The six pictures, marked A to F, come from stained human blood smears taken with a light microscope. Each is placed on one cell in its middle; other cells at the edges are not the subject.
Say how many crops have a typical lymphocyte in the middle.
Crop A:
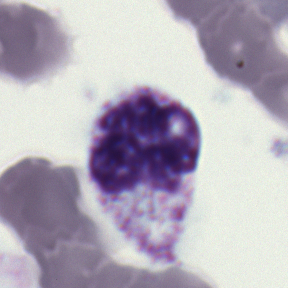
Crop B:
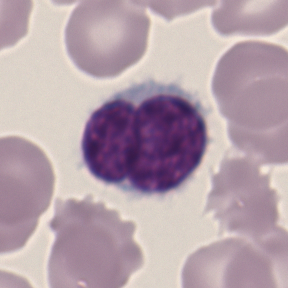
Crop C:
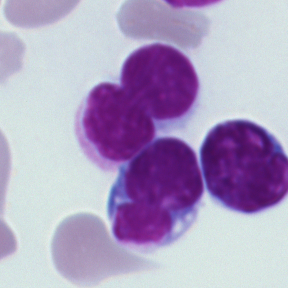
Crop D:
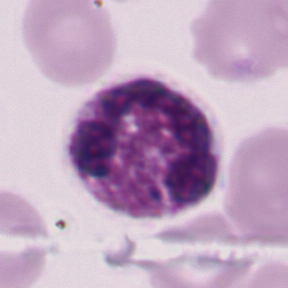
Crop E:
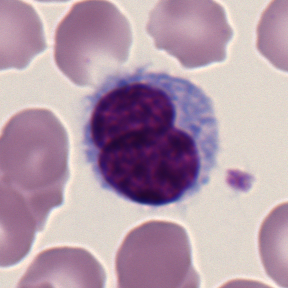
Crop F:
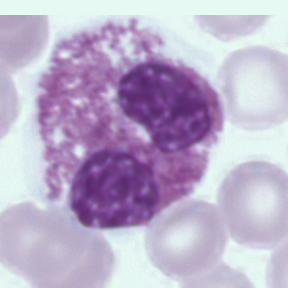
0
